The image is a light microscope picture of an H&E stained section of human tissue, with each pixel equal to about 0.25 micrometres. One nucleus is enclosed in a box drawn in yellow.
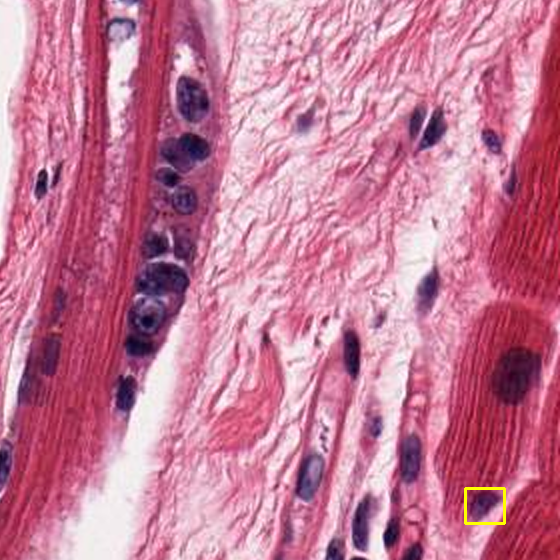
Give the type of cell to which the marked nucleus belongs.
skeletal muscle fibre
